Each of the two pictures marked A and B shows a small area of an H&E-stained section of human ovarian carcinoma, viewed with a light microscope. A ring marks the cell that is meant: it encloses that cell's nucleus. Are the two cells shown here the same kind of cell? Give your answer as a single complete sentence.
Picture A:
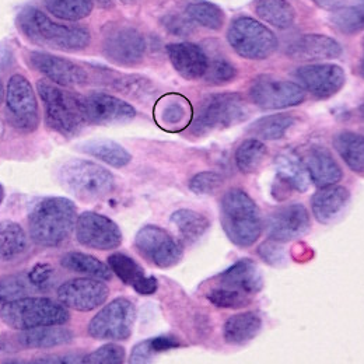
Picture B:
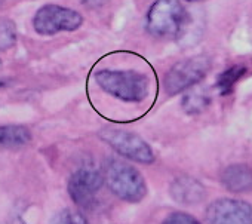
Yes, both cells are “macrophages or monocytes”.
